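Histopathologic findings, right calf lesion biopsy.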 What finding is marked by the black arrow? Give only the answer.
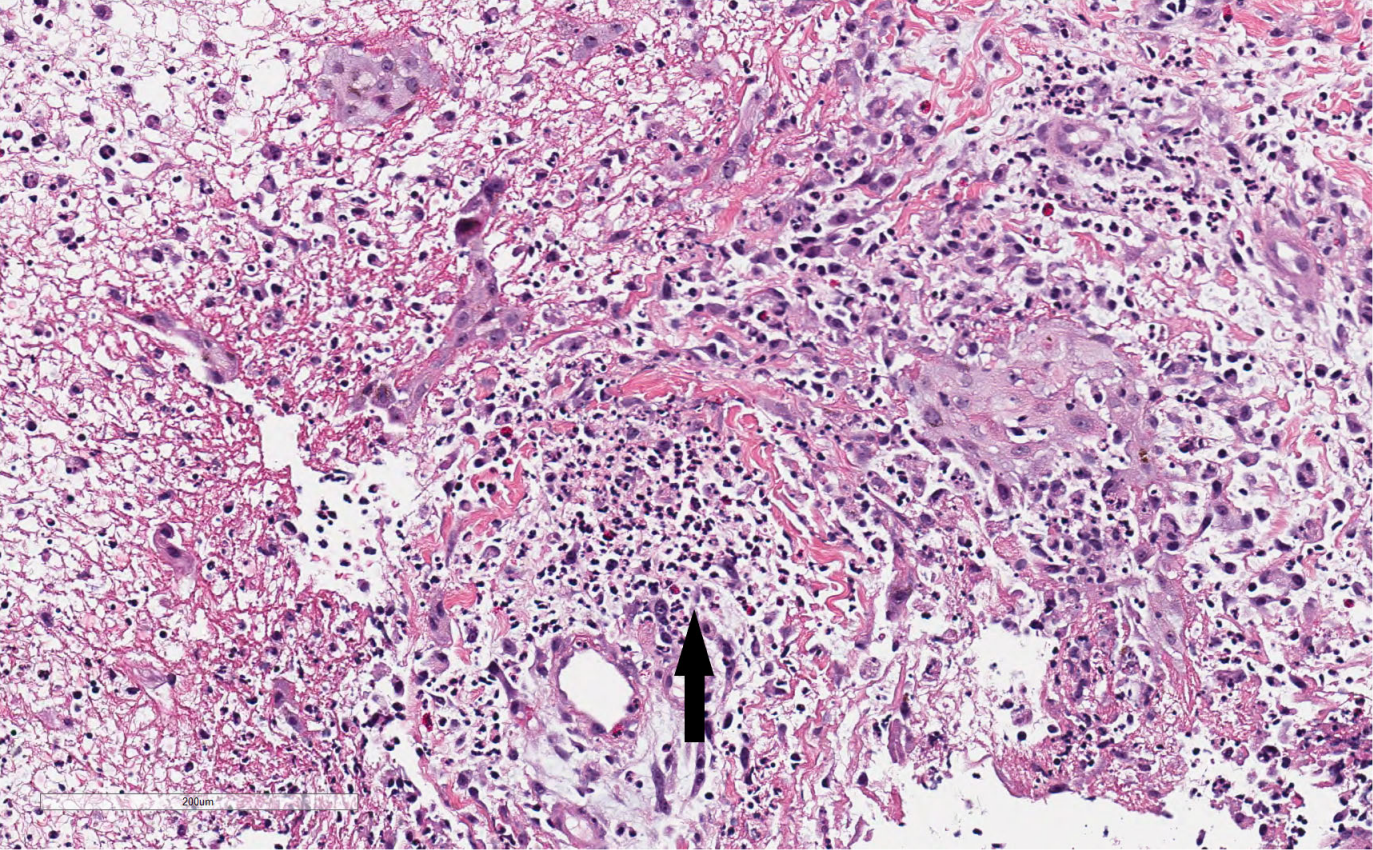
Dense dermal neutrophilic infiltration.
